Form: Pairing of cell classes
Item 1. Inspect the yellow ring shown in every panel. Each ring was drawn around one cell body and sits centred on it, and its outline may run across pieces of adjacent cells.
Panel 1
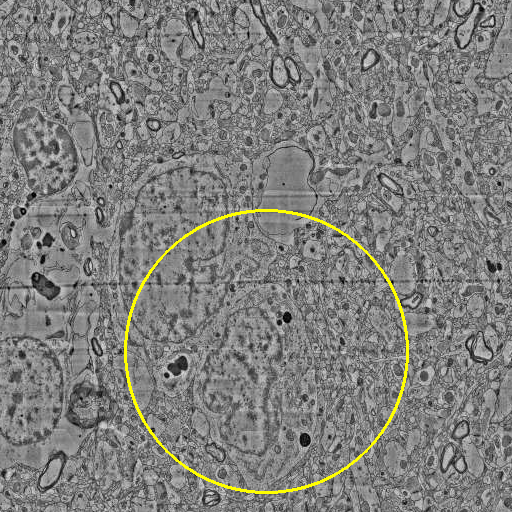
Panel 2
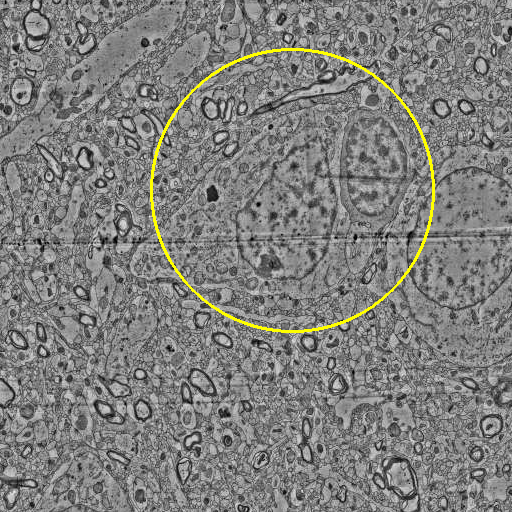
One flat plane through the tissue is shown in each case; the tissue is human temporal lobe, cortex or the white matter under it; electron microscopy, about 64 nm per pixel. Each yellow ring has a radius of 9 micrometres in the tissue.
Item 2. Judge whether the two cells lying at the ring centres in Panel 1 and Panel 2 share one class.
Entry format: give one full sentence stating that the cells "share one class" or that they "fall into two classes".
The cells at the ring centres in Panel 1 and Panel 2 share one class.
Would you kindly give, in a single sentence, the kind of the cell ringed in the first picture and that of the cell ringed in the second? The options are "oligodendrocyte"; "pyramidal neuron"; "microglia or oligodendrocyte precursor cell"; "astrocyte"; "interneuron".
Both pictures show an interneuron at the centre of the ring.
